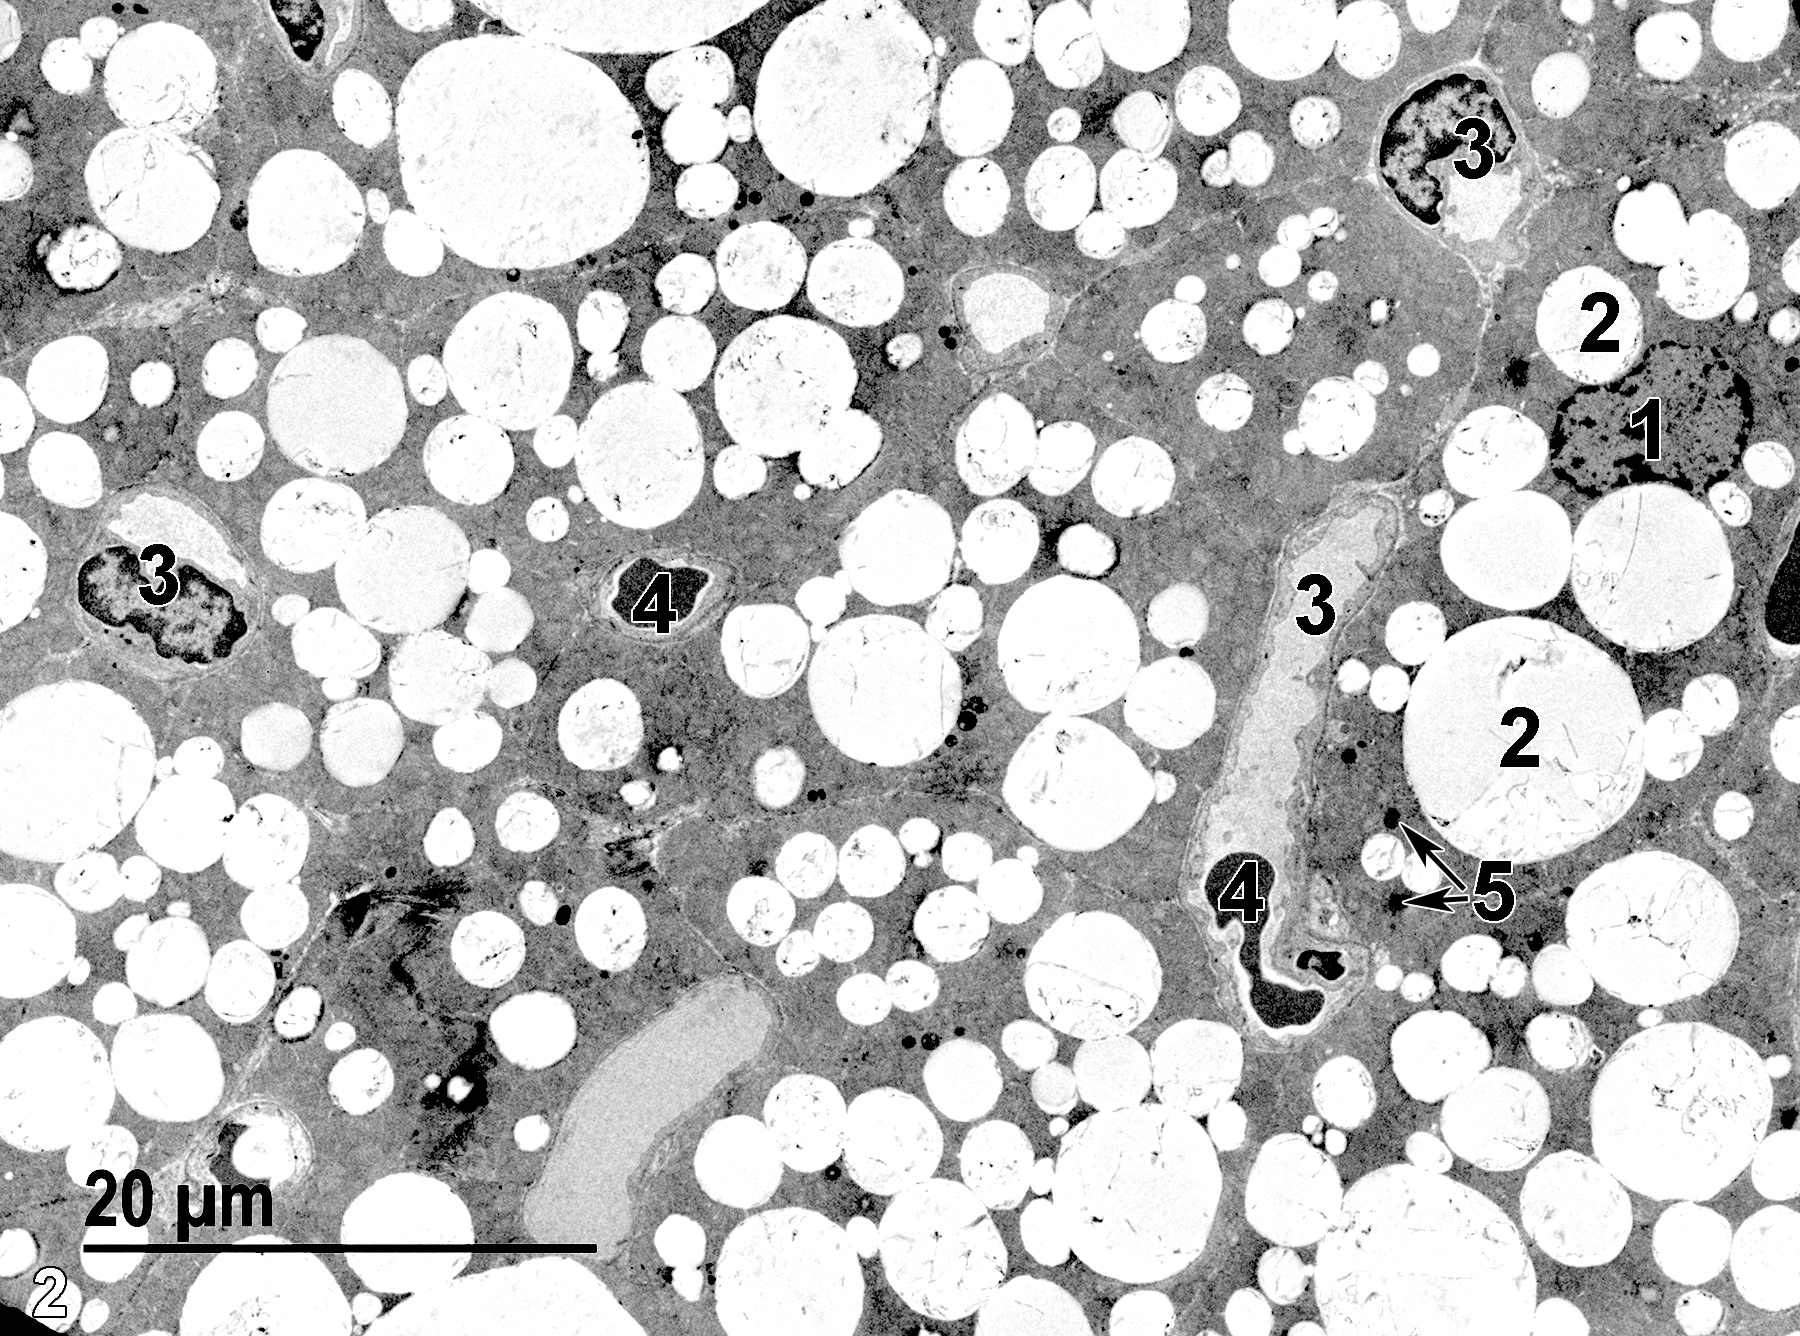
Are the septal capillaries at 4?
No. The erythrocytes.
